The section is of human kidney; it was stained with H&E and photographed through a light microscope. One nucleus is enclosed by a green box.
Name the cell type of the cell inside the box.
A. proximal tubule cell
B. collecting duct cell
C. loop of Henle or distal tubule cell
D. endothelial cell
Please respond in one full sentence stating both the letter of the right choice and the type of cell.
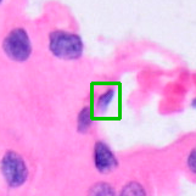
Option D is correct in stating that the cell inside the box is an endothelial cell.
